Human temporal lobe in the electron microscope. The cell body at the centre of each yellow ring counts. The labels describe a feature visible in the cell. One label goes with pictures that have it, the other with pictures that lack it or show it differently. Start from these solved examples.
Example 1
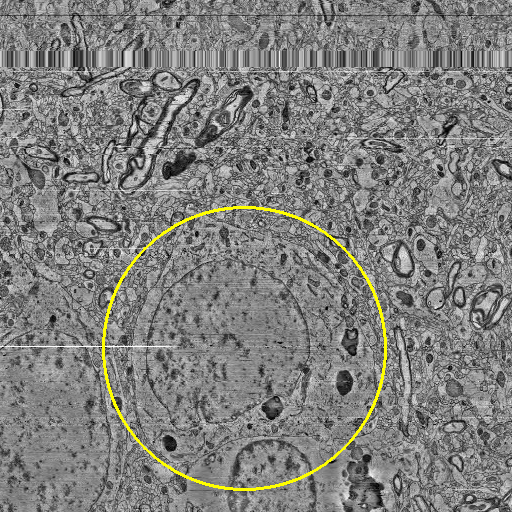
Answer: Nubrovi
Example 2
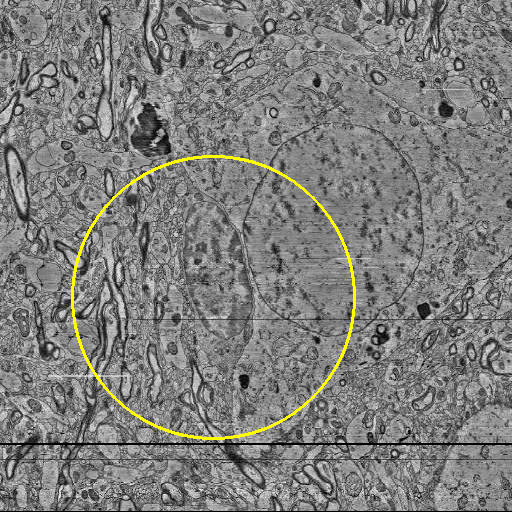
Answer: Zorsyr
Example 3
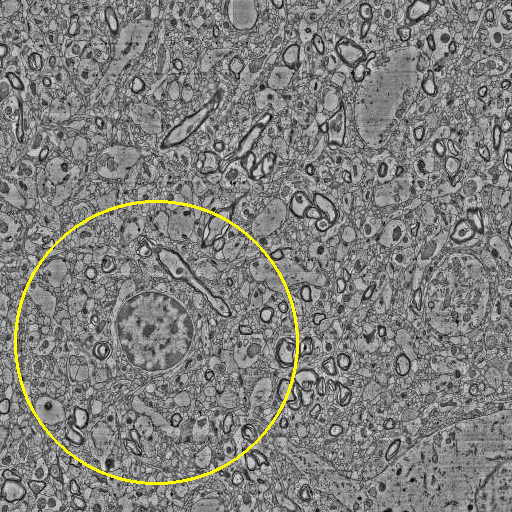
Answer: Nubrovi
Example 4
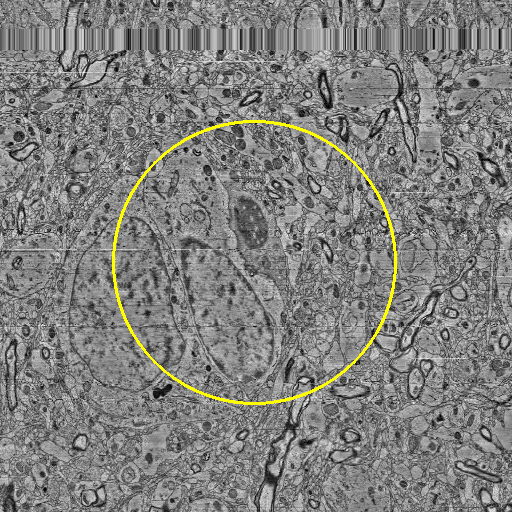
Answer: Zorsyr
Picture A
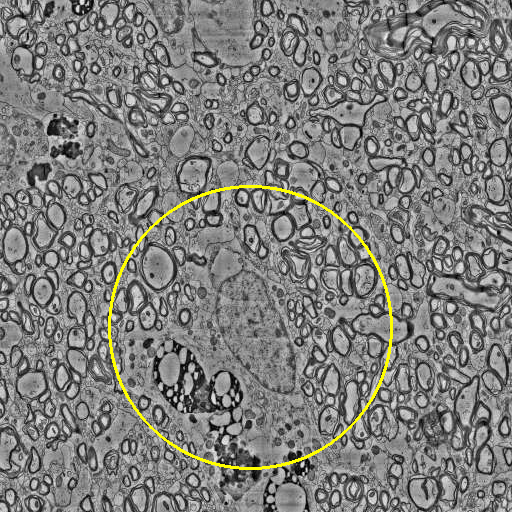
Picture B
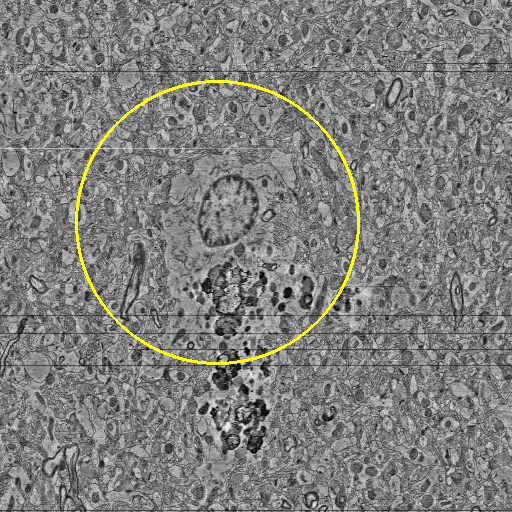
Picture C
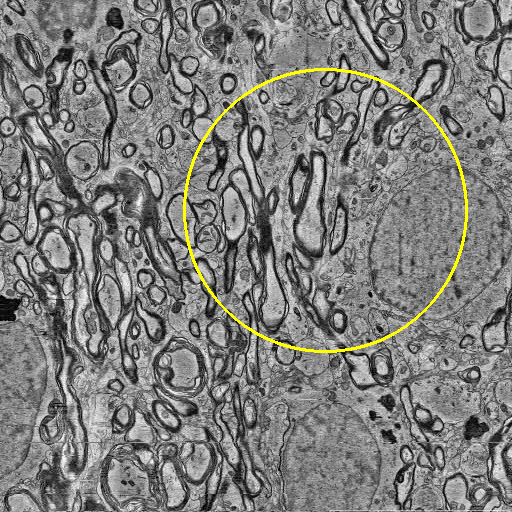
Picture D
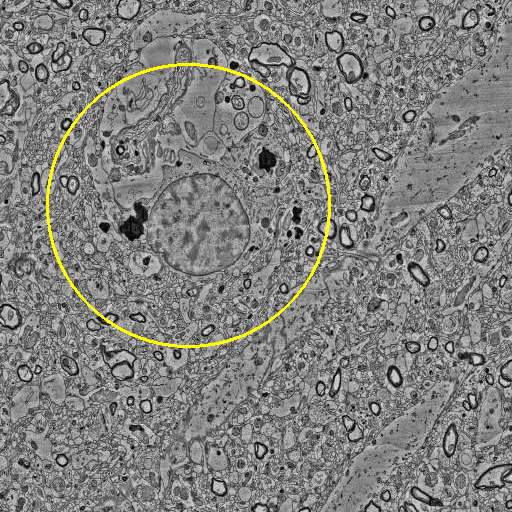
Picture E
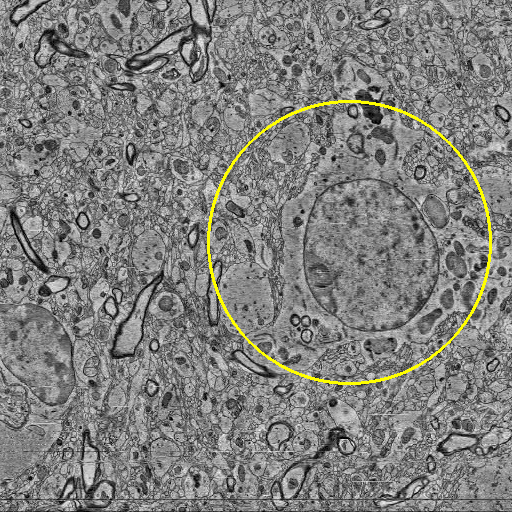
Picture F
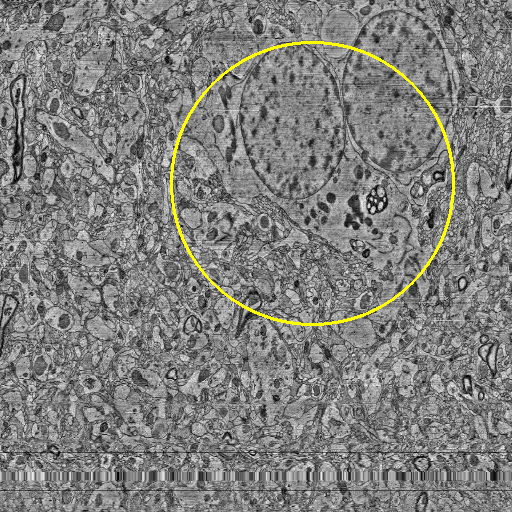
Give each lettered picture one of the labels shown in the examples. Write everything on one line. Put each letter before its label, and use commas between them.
A Zorsyr, B Nubrovi, C Nubrovi, D Nubrovi, E Nubrovi, F Zorsyr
